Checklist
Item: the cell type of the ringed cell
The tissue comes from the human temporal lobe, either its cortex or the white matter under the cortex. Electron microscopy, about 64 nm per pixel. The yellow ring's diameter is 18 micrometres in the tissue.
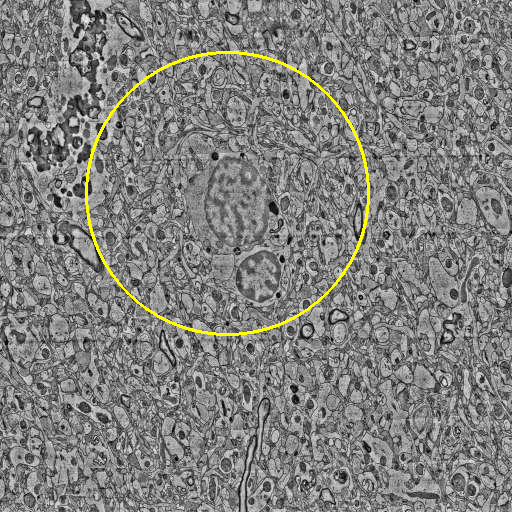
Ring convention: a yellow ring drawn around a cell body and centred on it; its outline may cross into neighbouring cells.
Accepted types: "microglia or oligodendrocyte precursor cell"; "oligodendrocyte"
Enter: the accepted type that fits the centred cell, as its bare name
oligodendrocyte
